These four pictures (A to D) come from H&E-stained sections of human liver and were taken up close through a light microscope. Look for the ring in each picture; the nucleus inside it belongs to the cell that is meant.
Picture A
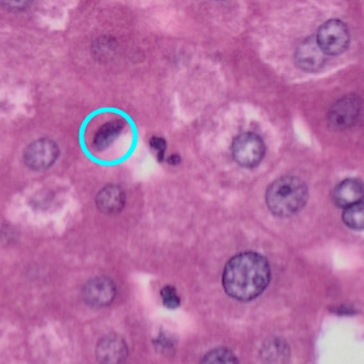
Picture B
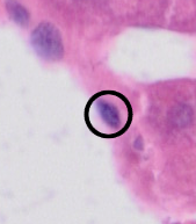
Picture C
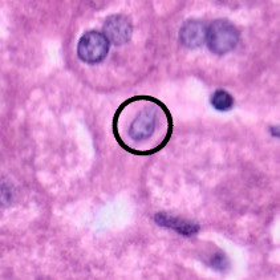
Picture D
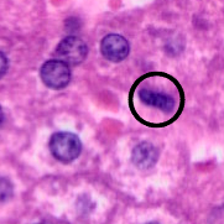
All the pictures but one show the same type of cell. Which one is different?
C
